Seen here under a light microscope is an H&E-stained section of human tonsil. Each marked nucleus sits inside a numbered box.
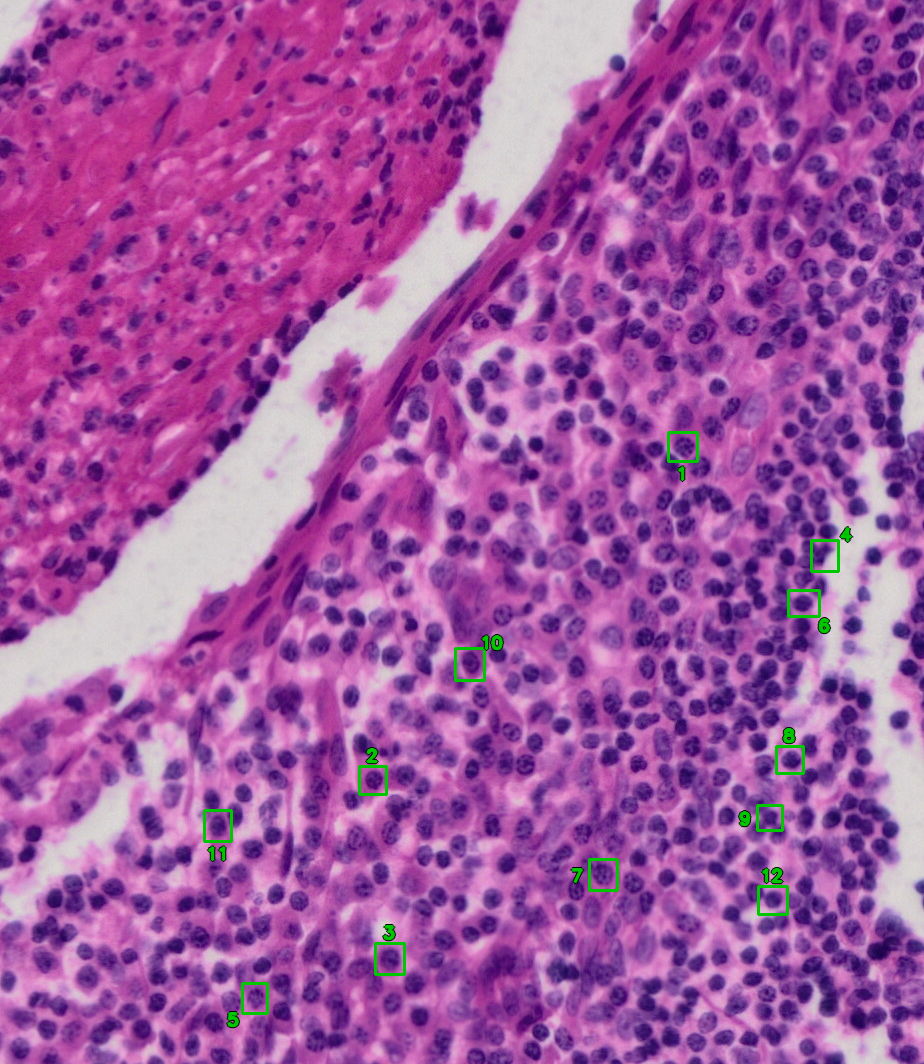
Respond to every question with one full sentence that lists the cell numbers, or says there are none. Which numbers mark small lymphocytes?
The cells numbered 4, 6, 8, 9 and 12 are typed as small lymphocytes.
